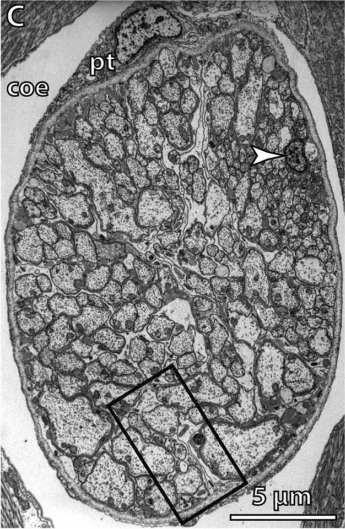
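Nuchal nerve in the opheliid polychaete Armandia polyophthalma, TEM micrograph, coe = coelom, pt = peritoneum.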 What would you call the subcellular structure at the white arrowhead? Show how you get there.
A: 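The arrowhead points to a small profile with a nucleus among the nerve fibres.
Hence: soma of glial cell.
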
